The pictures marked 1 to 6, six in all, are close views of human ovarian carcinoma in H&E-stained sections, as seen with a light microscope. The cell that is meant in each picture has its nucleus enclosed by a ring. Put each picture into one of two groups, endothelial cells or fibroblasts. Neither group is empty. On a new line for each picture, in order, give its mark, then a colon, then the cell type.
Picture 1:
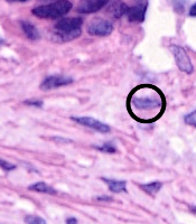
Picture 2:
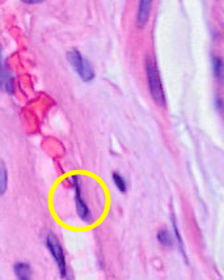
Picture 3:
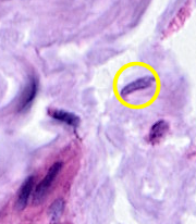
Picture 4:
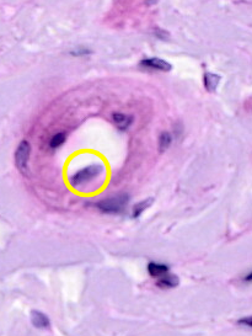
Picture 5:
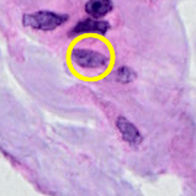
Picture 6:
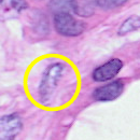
1: fibroblast
2: endothelial cell
3: fibroblast
4: endothelial cell
5: endothelial cell
6: fibroblast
